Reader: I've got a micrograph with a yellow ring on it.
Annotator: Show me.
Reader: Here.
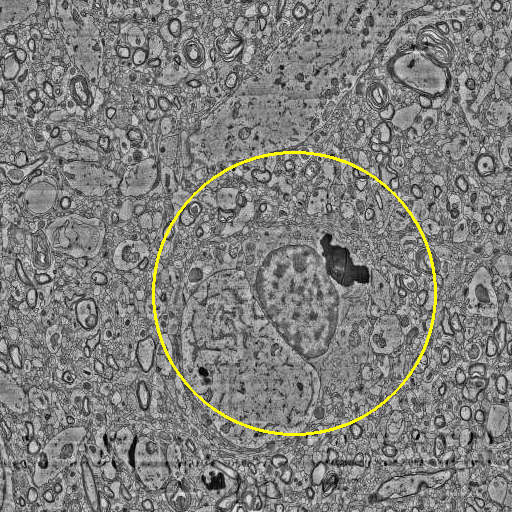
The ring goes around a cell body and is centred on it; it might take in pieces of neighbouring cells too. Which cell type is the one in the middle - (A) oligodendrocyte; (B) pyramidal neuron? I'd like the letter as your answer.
A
